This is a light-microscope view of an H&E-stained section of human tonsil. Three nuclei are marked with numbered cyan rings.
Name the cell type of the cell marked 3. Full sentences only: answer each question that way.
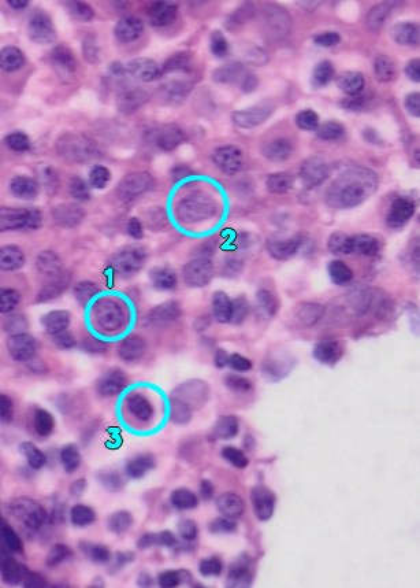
The cell identified by number 3 is a plasma cell.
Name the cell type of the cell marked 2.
The cell referenced by the number 2 is a squamous epithelial cell in this field.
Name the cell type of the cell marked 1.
Identified as a plasma cell is the cell bearing the number 1.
